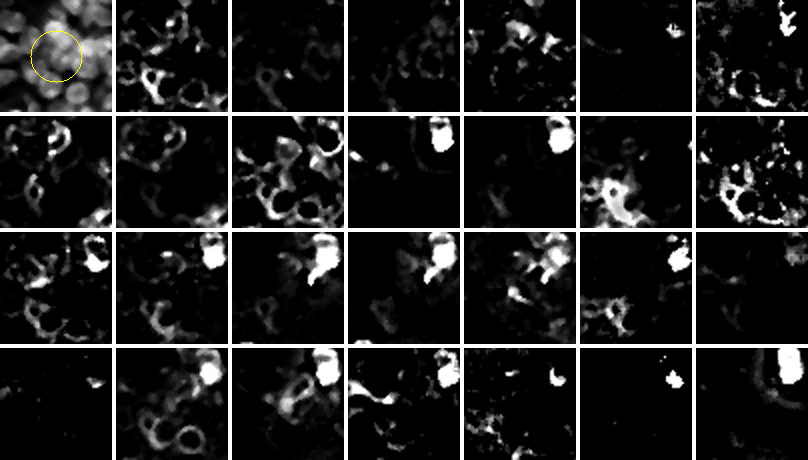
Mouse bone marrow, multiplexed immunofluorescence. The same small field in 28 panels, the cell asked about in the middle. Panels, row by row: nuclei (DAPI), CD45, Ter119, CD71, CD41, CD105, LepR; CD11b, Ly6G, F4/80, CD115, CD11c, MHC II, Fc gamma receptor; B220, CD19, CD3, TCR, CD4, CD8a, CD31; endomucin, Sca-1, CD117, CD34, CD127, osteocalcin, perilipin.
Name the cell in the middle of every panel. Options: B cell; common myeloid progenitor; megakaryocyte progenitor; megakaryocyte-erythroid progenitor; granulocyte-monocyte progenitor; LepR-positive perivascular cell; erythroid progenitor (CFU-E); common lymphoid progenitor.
granulocyte-monocyte progenitor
